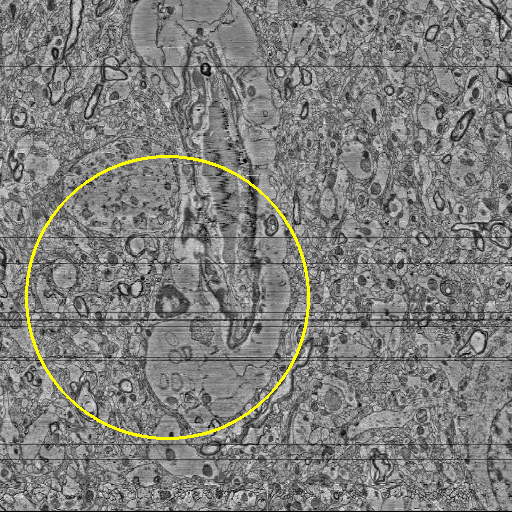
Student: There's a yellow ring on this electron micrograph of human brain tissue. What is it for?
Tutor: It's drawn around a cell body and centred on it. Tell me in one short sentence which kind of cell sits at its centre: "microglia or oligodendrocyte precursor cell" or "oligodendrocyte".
The cell at the centre of the ring is a microglial cell or oligodendrocyte precursor cell.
